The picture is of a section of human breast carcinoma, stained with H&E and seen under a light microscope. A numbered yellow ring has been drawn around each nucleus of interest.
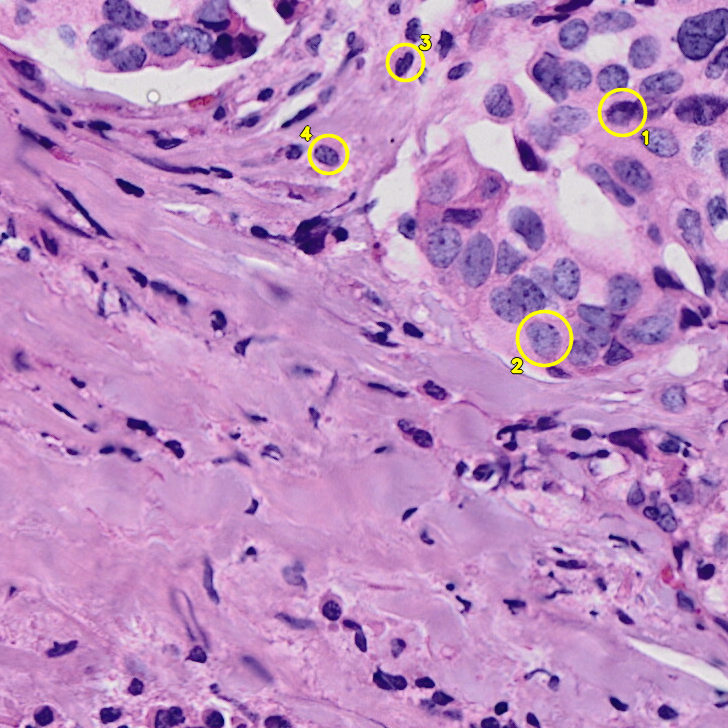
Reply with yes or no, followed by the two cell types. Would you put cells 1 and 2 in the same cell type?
Yes, both are carcinoma cells.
